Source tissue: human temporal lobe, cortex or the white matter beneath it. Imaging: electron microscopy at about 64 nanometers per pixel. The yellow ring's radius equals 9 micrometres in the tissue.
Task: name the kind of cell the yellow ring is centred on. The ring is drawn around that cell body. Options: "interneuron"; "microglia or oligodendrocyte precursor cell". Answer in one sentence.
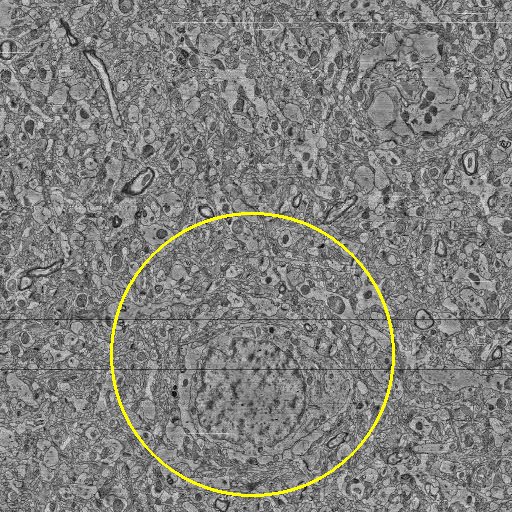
This cell body belongs to an interneuron.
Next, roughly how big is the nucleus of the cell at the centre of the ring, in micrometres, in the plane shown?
Roughly 7 micrometres across for the nucleus, in this plane.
